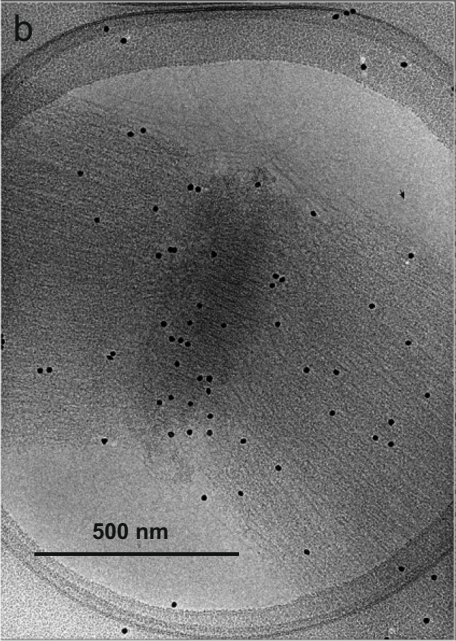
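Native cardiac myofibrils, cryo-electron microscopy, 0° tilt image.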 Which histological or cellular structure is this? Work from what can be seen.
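Z-disc. A dark, dense band crosses the middle of a fibrous bundle. Fine longitudinal filaments run through the bundle on either side of the dark band.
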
